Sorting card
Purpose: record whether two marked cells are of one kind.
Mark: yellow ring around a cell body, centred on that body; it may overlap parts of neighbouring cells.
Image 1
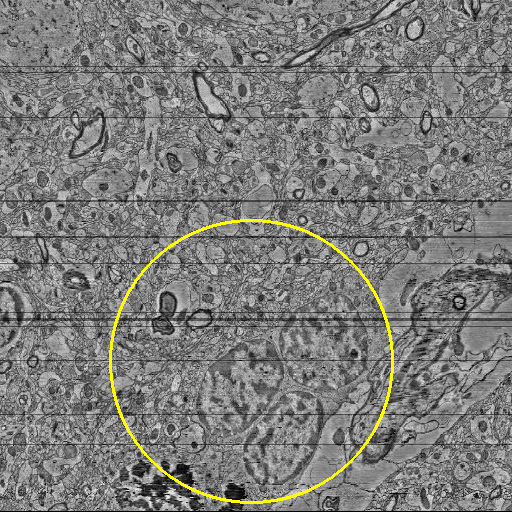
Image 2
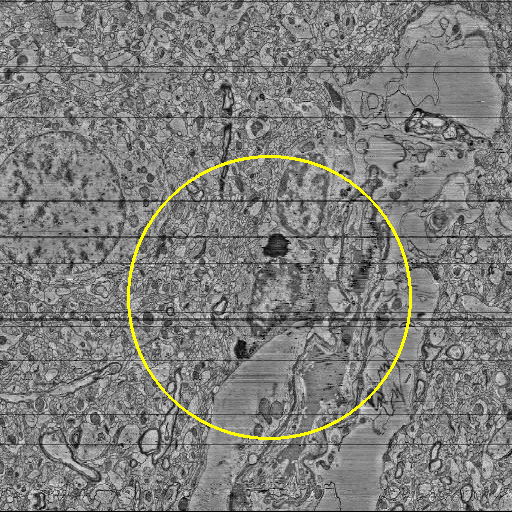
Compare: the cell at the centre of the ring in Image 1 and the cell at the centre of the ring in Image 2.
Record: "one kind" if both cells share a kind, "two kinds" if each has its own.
one kind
